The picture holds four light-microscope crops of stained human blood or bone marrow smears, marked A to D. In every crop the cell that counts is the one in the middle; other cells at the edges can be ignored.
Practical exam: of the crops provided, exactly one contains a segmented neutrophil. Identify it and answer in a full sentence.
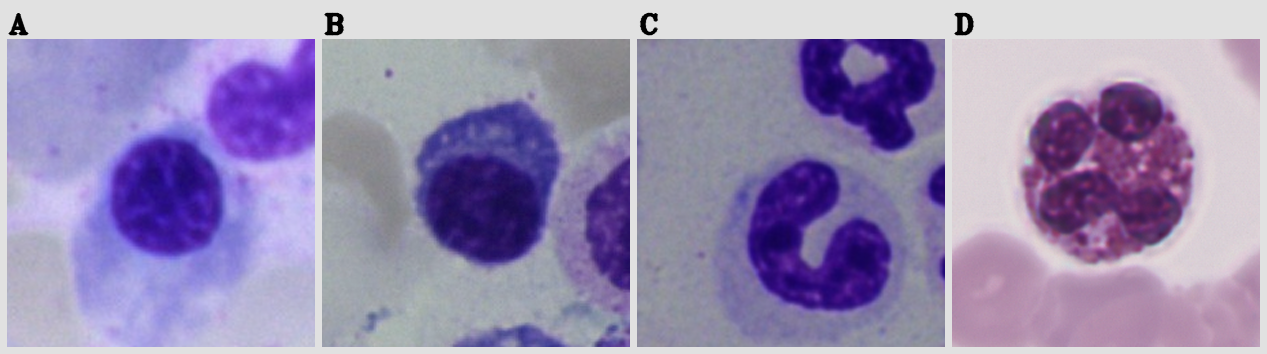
As for which crop shows a segmented neutrophil, it is crop C.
